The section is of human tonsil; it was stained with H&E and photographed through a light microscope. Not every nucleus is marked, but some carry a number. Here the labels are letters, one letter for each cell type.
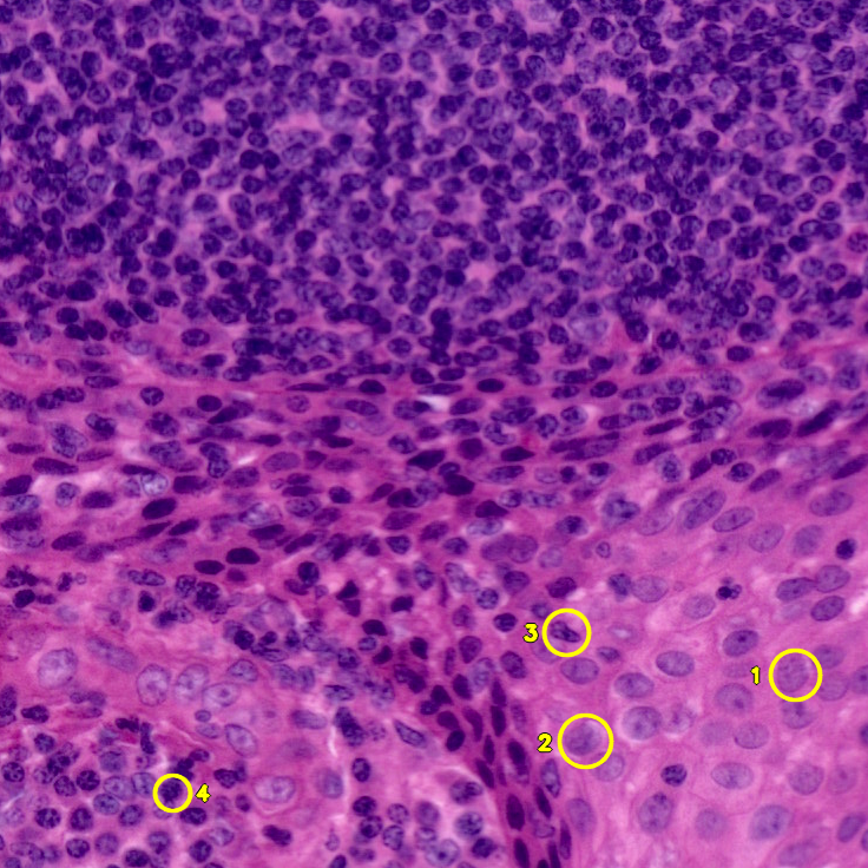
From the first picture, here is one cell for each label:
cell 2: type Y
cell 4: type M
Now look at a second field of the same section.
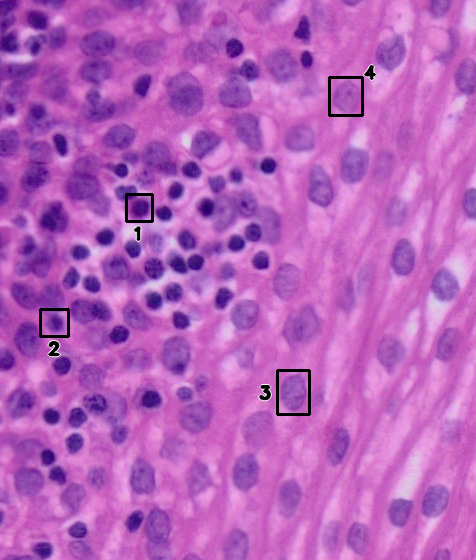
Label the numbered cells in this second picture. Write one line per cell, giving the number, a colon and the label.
1: type M
2: type Y
3: type Y
4: type Y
